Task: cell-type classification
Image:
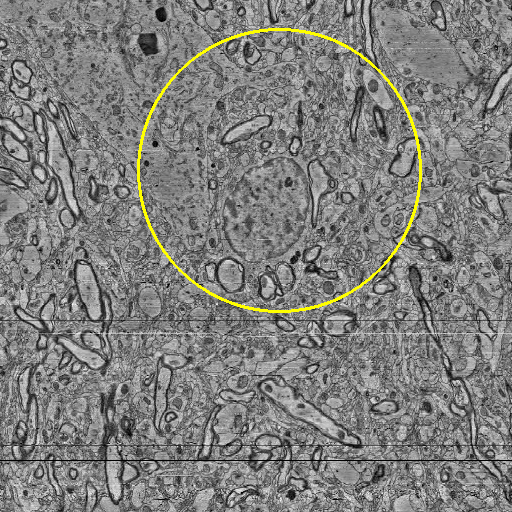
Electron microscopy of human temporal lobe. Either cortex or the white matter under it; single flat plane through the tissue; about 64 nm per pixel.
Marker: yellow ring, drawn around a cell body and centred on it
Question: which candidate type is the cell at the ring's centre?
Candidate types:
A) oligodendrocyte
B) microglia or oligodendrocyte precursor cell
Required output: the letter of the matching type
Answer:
A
